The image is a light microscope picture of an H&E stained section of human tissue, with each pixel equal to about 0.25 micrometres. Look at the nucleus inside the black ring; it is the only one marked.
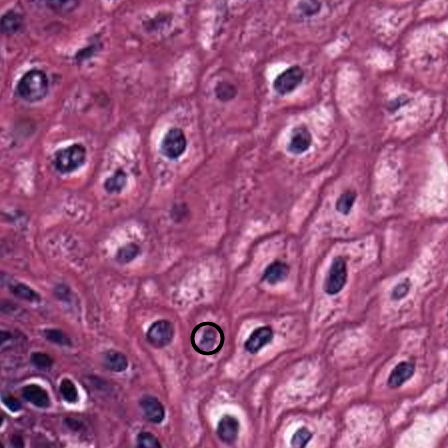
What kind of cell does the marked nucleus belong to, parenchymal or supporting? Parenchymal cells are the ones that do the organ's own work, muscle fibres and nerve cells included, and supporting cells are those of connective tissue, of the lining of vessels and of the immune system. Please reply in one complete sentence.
In this picture the marked nucleus belongs to a squamous epithelial cell, a parenchymal cell.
